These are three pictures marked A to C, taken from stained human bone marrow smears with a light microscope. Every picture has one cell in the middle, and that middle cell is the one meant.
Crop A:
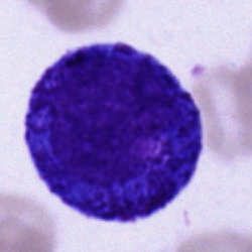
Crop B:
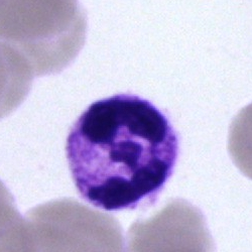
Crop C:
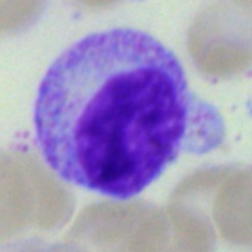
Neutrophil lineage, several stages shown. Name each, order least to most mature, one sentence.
Ordered from the youngest stage to the most mature, the crops are crop A (a promyelocyte), crop C (a myelocyte) and crop B (a segmented neutrophil).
